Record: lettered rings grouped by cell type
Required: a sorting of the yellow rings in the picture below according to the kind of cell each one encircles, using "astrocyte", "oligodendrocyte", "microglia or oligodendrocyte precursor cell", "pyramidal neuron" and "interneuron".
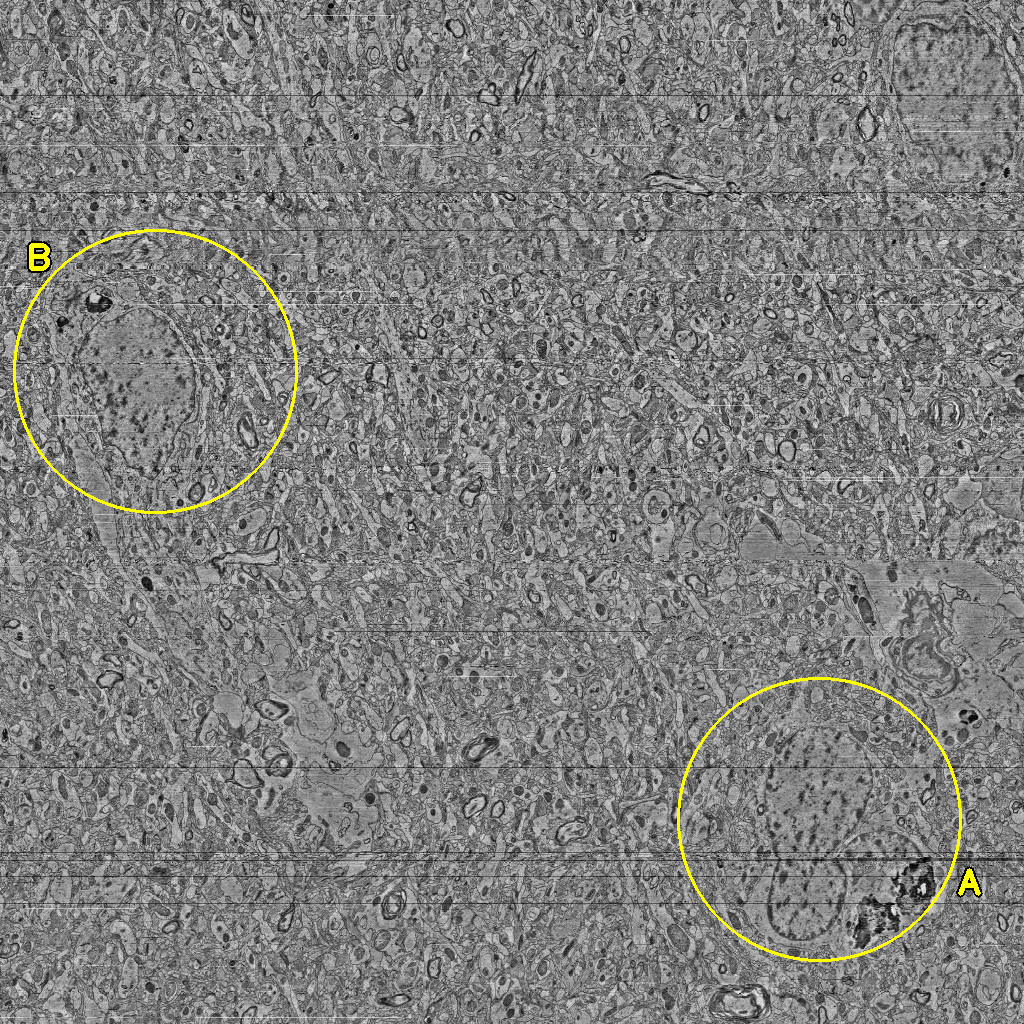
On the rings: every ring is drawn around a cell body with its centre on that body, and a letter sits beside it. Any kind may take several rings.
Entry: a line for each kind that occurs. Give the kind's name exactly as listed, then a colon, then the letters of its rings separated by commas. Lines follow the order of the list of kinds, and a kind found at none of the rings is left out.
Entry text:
astrocyte: A
interneuron: B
